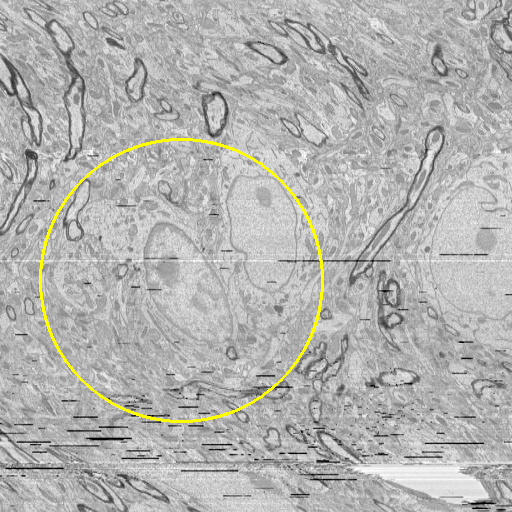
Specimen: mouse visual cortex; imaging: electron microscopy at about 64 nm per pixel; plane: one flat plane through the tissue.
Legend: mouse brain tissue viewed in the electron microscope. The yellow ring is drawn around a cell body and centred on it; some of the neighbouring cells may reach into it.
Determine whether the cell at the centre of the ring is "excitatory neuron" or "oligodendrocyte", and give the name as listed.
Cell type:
oligodendrocyte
